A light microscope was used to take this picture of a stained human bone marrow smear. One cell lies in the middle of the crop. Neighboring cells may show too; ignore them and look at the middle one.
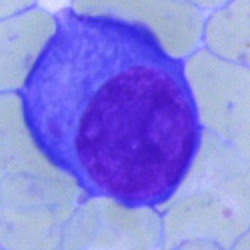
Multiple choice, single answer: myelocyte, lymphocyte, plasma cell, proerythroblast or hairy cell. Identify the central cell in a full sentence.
Classification of the middle cell gives a plasma cell.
